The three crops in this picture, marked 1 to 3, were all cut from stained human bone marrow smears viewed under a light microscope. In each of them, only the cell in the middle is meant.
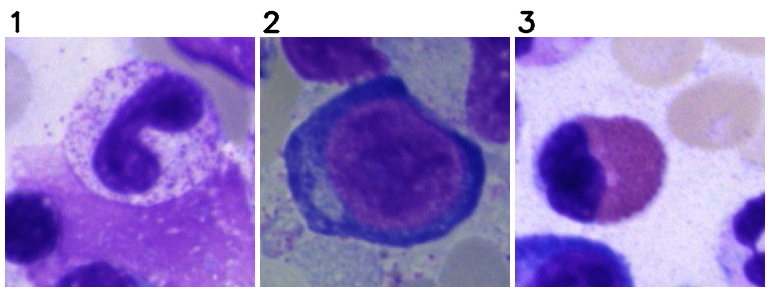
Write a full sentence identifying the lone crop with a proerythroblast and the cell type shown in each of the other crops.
The cell in crop 2 is a proerythroblast, while crop 1 is a band neutrophil and crop 3 is an eosinophil.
